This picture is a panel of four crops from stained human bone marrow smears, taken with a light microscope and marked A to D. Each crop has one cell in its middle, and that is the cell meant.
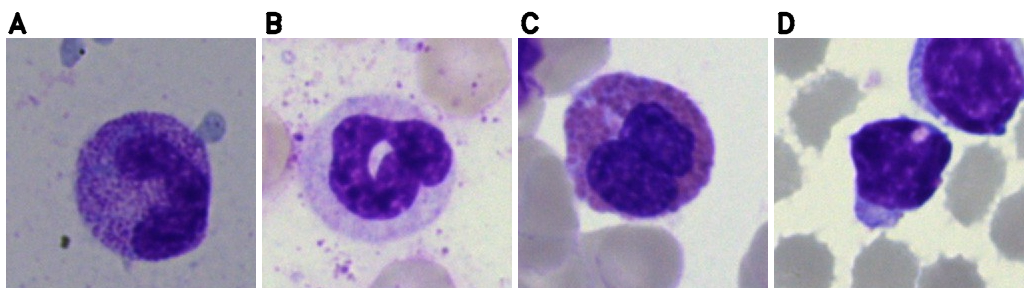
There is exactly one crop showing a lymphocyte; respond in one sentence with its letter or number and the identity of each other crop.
As for the set, crop D shows a lymphocyte, while crop A is a band neutrophil, crop B is a segmented neutrophil and crop C is an eosinophil.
